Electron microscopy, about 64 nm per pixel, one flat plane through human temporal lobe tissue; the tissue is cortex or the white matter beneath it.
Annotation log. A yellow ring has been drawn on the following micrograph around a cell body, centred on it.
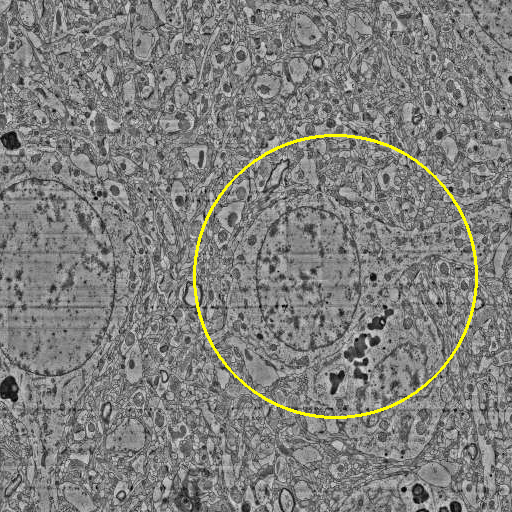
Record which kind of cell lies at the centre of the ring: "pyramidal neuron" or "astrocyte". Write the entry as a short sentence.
The cell the ring is centred on is a pyramidal neuron.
